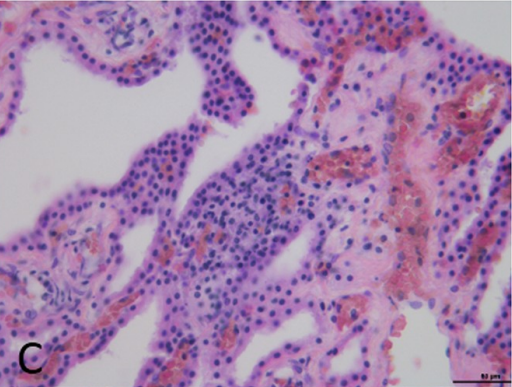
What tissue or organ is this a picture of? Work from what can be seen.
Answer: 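Chorioid plexuses. Branching fronds covered by a single layer of cuboidal cells with round nuclei. Fronds have cores holding blood-filled vessels.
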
